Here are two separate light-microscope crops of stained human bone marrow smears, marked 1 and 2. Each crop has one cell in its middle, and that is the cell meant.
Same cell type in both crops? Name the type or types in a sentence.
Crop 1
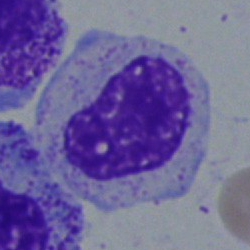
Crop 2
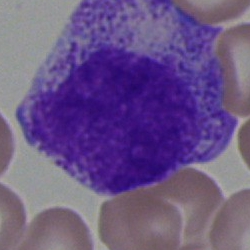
No, the correct reading is a metamyelocyte in crop 1 and a myelocyte in crop 2.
